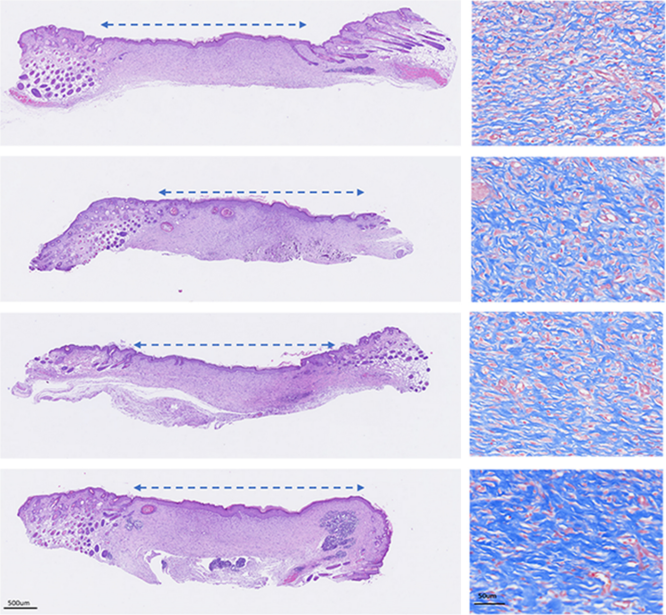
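The left column shows long, low-magnification sections through healing skin in pink and purple, with a thin, darker purple epidermis running along the upper surface. At the ends of each section, the skin holds many round, purple-rimmed glandular and follicular structures. Toward the middle, beneath a blue dashed double-headed arrow, these appendages are largely missing and the dermis looks more uniform. The right column shows close-up fields of the dermis stained blue with wavy, interlacing fibres. Scattered red-pink strands and elongated cell profiles lie between the blue fibres. The density of blue fibres differs between the rows, and one field is a deeper, more compact blue.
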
